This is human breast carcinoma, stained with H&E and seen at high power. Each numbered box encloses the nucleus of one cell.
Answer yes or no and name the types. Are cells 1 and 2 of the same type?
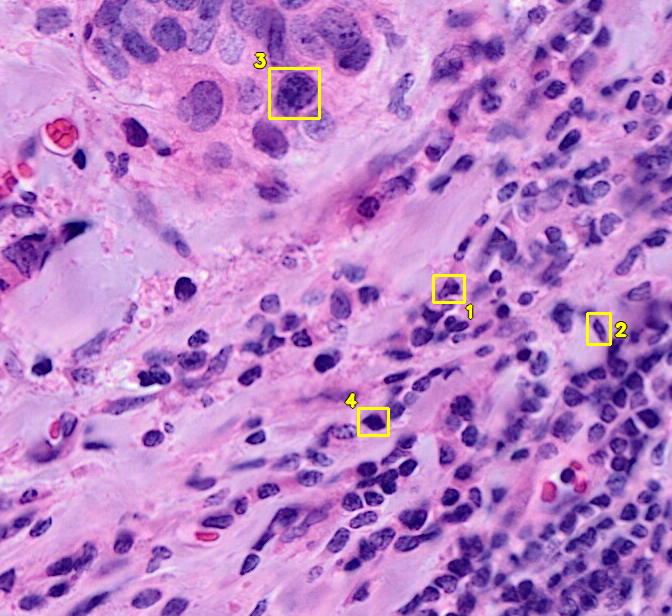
Yes, cell 1 is counted among the lymphocytes, as is cell 2.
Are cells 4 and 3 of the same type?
No, cell 4 is a lymphocyte; as for cell 3, that one is a carcinoma cell.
